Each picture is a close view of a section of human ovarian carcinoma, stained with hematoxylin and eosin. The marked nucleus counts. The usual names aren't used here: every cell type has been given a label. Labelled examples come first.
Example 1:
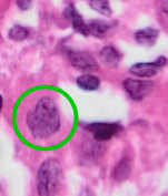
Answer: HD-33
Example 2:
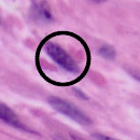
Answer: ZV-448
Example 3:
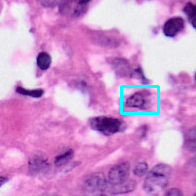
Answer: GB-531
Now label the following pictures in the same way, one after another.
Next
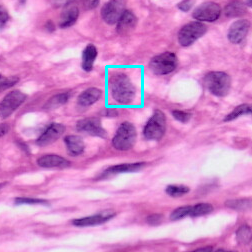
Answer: HD-33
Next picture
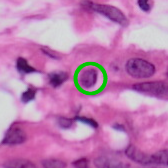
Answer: GB-531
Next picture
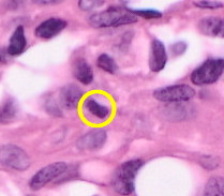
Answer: HD-33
